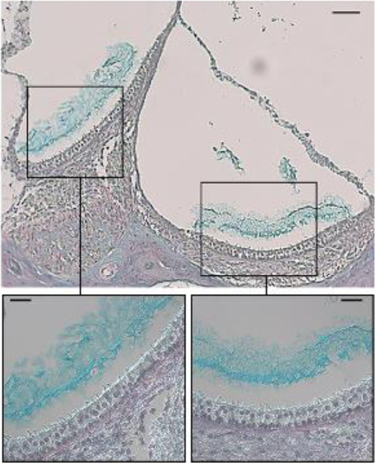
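Two sensory patches of the inner ear are seen lining a large fluid space, each a layer of columnar epithelium capped by a thick blue-green gelatinous layer. In the enlarged views the epithelium shows crowded nuclei in more than one tier, hair cells above and supporting cells below, resting on pink-purple connective tissue. These are the maculae, with their overlying membranes intact and the chambers open.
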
